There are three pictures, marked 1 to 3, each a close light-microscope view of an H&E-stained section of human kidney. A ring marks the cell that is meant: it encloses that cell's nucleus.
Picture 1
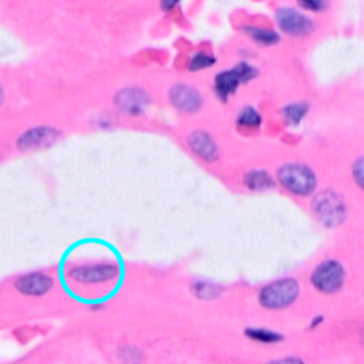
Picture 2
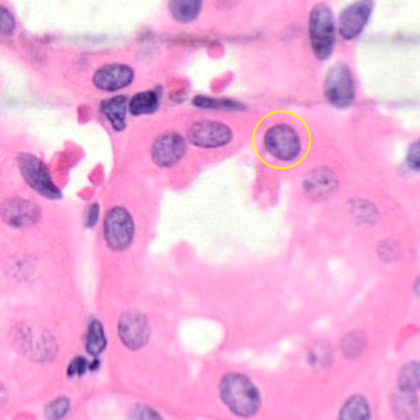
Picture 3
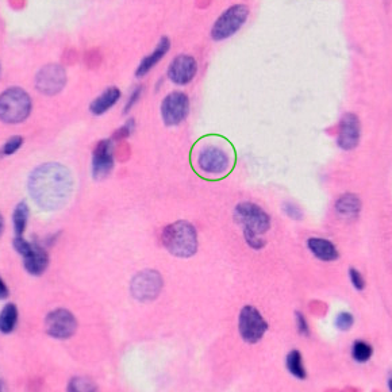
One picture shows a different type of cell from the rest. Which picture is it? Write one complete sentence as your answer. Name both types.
The others show “loop of Henle or distal tubule cells”, but picture 2 shows a proximal tubule cell.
